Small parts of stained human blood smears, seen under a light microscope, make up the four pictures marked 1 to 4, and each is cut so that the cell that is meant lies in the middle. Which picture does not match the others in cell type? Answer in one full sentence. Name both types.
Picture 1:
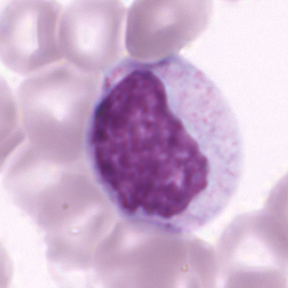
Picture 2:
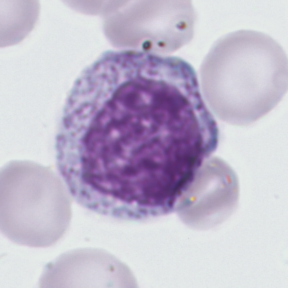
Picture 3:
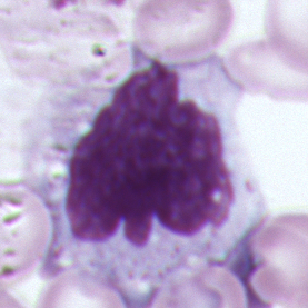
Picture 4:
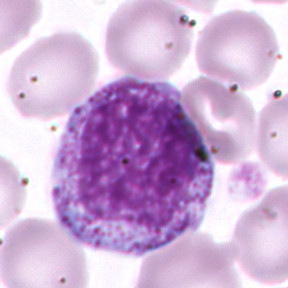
All pictures except 3 show myelocytes; picture 3 shows a monocyte.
